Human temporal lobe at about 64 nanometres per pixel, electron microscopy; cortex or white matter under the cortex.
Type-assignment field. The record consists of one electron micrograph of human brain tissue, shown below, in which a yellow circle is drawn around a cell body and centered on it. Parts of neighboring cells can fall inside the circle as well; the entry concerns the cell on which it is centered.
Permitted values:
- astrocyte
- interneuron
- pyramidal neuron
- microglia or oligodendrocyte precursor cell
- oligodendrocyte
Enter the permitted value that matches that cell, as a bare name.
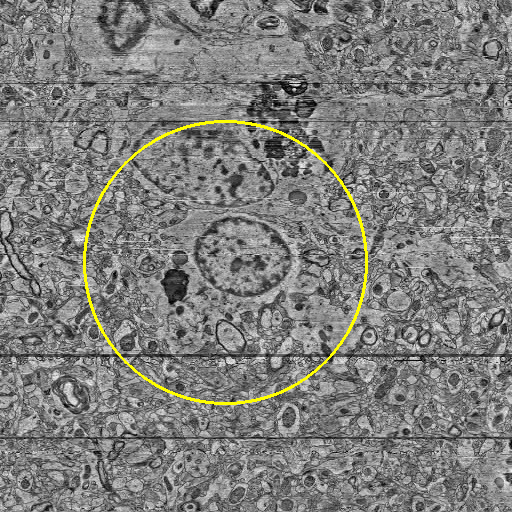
astrocyte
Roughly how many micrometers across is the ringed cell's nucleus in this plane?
The nucleus appears roughly 6 by 5 micrometres in this plane.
